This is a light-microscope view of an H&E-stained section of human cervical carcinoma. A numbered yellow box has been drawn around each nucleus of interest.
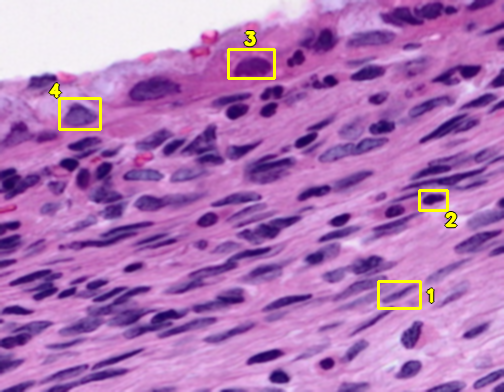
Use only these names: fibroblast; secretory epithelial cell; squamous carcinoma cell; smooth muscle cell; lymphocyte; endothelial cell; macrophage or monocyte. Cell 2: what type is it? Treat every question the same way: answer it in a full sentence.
Number 2 among the marked cells is a lymphocyte.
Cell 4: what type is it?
The cell that is numbered 4 is a secretory epithelial cell.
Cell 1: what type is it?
What the number 1 marks in this field is a fibroblast.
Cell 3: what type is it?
The cell numbered 3 has been identified as a secretory epithelial cell.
